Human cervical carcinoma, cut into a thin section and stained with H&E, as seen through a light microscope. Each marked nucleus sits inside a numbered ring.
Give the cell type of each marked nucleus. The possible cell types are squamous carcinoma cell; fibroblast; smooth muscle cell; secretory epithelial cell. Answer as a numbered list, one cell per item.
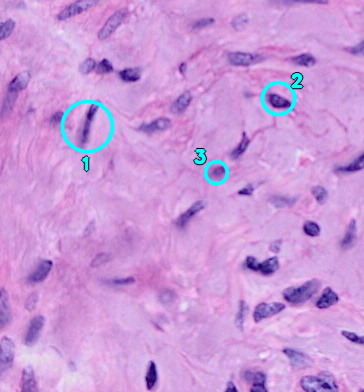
1. fibroblast
2. smooth muscle cell
3. smooth muscle cell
